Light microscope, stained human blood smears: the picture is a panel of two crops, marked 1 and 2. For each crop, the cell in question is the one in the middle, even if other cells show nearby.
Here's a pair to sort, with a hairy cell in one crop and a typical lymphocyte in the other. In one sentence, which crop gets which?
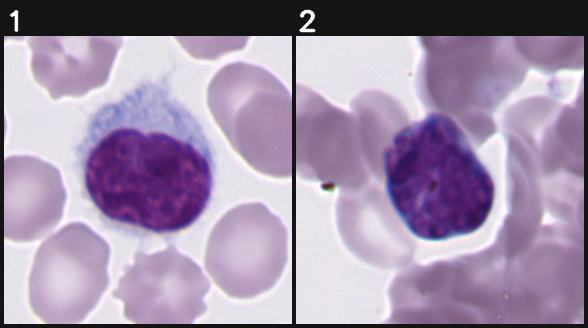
The cell in crop 1 is a hairy cell, whereas the cell in crop 2 is a typical lymphocyte.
